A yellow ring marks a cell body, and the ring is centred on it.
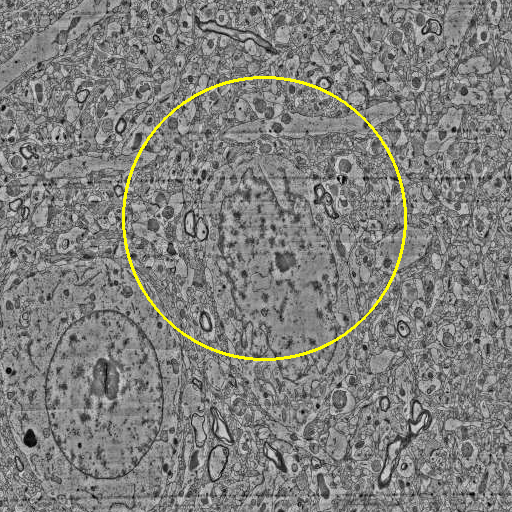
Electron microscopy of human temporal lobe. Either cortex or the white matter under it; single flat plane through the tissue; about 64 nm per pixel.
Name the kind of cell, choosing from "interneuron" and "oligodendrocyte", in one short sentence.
The marked cell body belongs to an interneuron.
